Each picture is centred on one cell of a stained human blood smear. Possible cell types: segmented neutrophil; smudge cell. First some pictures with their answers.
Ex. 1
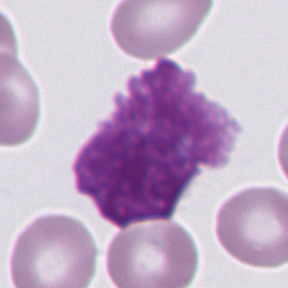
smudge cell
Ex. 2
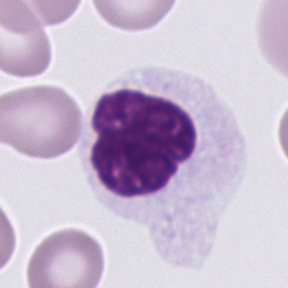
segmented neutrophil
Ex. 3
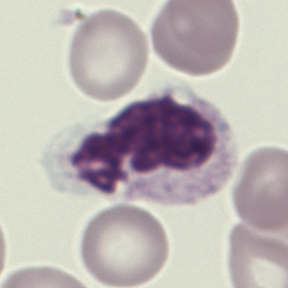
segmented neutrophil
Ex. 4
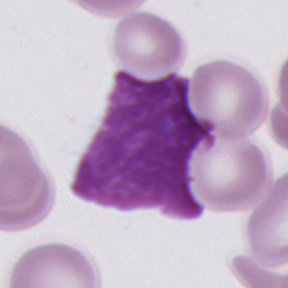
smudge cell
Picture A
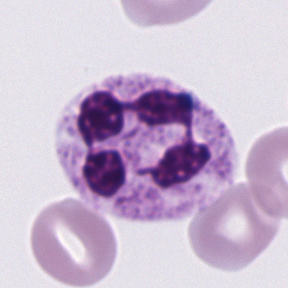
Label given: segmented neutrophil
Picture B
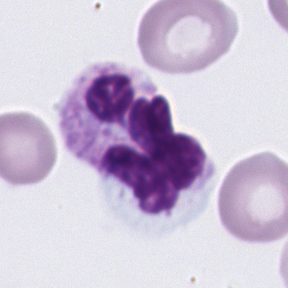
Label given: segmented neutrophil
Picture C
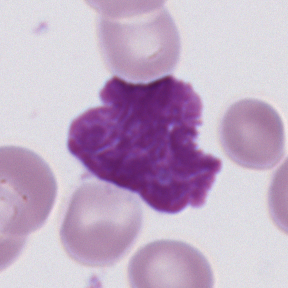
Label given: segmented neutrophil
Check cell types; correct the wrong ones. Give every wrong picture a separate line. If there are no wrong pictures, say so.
Wrong: C (segmented neutrophil); correct: smudge cell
